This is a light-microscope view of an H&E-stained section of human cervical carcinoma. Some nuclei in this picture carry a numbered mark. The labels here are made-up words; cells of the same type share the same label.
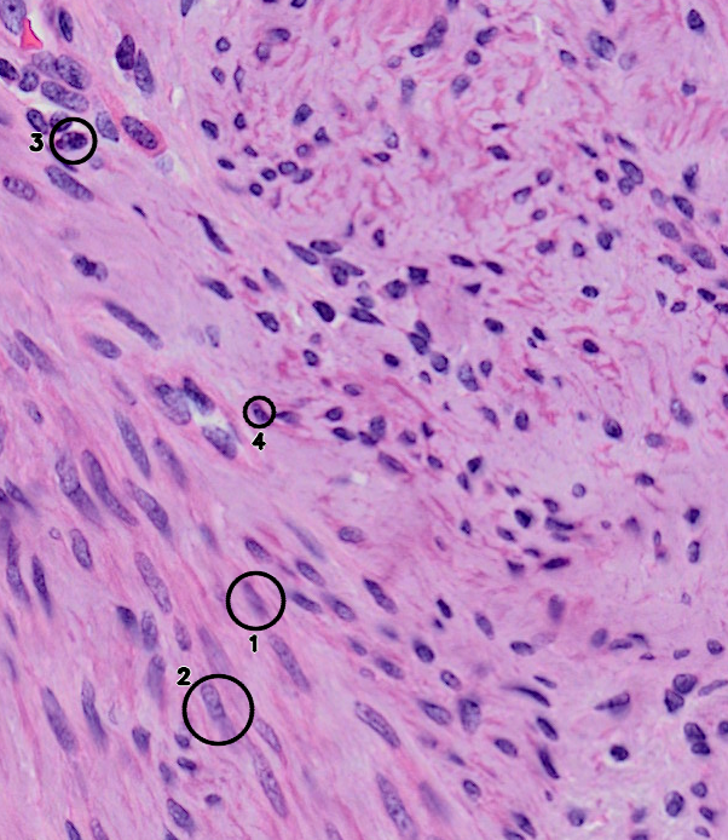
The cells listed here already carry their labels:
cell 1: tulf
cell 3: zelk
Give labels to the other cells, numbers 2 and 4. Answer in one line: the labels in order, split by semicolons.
tulf; tulf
